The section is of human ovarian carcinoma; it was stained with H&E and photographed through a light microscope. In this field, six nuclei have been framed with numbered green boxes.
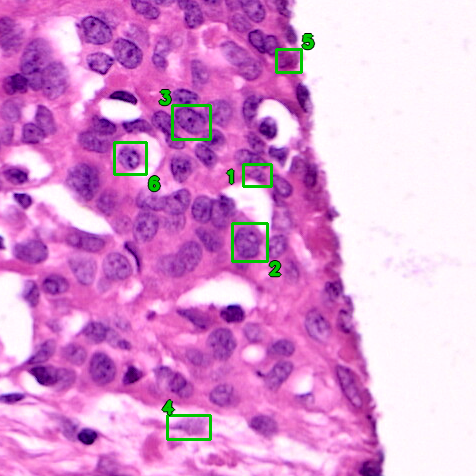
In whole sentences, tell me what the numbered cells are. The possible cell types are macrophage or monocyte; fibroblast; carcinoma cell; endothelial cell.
Cell 1 is a carcinoma cell, cell 2 is a carcinoma cell, cell 3 is a carcinoma cell, cell 4 is a fibroblast, cell 5 is a carcinoma cell and cell 6 is a macrophage or monocyte.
